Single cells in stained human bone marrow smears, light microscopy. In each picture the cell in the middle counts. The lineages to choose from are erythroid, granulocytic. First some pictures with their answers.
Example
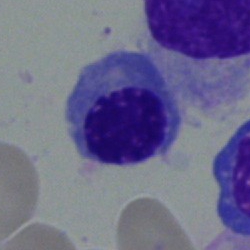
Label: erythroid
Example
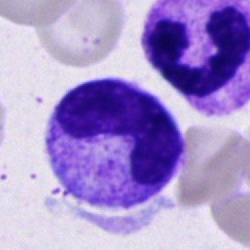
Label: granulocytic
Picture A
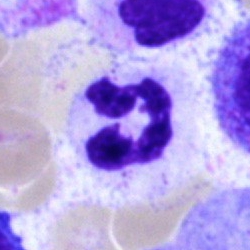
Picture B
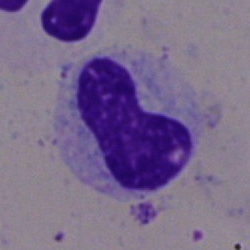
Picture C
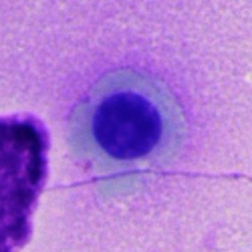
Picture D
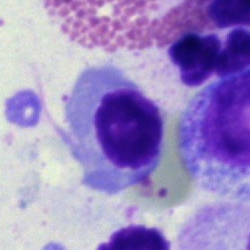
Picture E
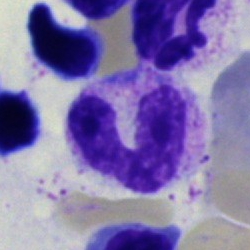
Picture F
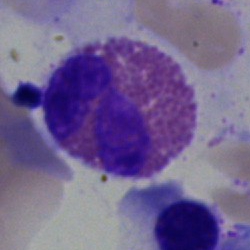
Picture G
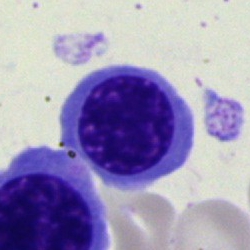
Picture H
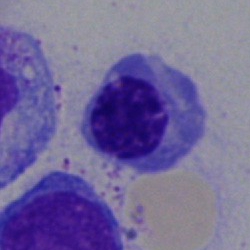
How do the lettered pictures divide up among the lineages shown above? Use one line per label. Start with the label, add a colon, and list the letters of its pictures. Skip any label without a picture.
erythroid: C, D, G, H
granulocytic: A, B, E, F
